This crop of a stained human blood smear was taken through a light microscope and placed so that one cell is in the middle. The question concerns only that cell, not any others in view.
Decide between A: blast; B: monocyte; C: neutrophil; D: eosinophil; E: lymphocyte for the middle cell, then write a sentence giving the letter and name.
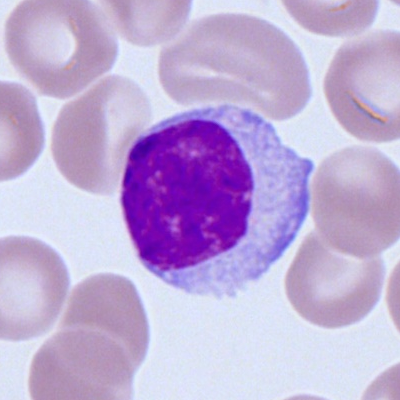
The cell in the middle is a lymphocyte, so option E is correct.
